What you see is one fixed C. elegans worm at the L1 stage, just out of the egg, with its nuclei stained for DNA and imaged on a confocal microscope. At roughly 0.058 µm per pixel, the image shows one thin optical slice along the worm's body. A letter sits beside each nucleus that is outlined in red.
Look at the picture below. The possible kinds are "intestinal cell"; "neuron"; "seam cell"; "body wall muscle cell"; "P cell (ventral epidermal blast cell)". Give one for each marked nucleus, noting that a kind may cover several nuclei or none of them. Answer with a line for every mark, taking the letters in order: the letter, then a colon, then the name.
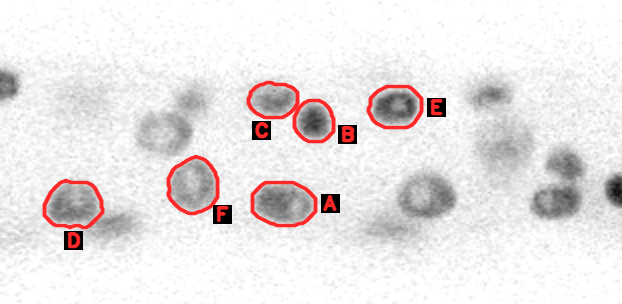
A: P cell (ventral epidermal blast cell)
B: neuron
C: body wall muscle cell
D: P cell (ventral epidermal blast cell)
E: body wall muscle cell
F: seam cell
